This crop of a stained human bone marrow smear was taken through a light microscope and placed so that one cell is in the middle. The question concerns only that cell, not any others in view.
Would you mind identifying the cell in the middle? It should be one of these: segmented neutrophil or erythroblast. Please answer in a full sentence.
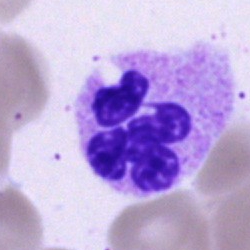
Whatever else lies nearby, the middle cell is a segmented neutrophil.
